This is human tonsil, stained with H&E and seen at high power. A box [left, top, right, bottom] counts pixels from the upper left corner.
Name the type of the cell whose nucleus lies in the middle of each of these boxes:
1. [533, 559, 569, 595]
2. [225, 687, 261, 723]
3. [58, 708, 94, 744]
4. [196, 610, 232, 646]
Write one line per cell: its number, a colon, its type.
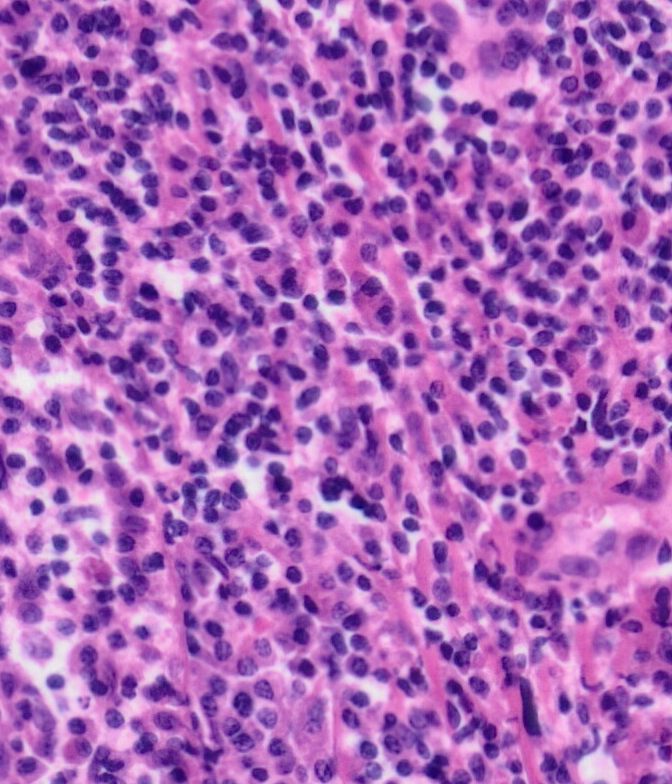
1: endothelial cell
2: plasma cell
3: plasma cell
4: plasma cell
